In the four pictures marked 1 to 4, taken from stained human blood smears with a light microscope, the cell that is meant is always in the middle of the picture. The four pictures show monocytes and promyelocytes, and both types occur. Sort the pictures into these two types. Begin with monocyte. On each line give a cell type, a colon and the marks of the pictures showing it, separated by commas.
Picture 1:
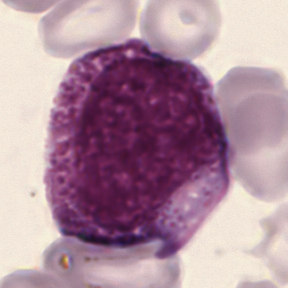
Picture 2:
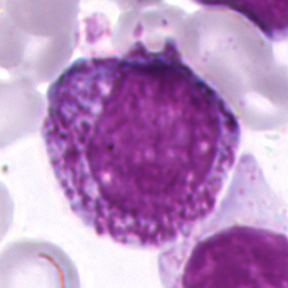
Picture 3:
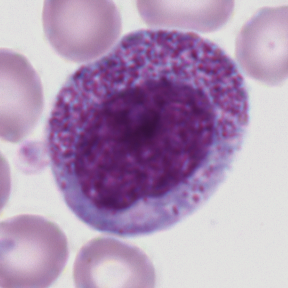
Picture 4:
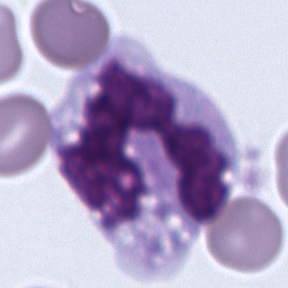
monocyte: 4
promyelocyte: 1, 2, 3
